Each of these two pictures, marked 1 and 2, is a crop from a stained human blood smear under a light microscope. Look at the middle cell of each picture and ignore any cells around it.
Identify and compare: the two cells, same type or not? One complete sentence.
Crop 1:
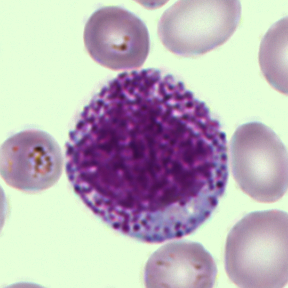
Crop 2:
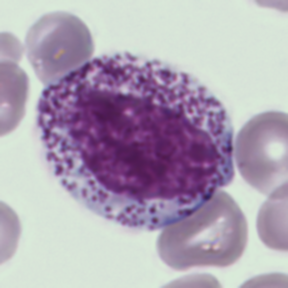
Yes, myelocytes are shown in both crops.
